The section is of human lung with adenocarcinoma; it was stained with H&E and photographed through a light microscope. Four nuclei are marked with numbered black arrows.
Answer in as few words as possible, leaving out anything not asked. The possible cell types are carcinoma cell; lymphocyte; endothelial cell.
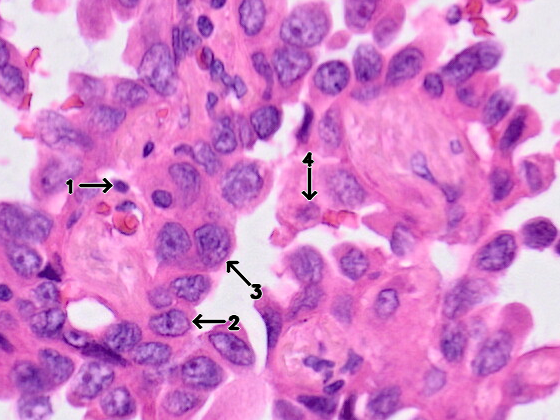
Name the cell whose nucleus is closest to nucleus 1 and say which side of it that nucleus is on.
an endothelial cell, below nucleus 1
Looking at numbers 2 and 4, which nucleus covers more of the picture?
2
